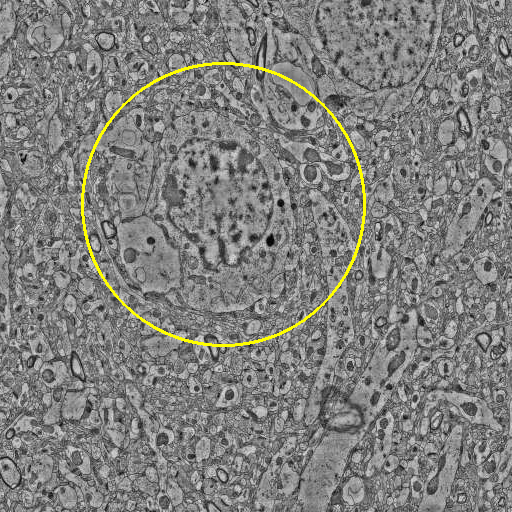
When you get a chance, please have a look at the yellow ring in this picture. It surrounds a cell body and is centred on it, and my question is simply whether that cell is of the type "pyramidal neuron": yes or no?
No, the cell is of another type.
